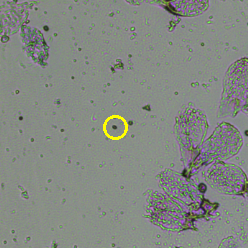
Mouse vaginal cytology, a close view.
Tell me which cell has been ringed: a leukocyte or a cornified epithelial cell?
It is a leukocyte.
